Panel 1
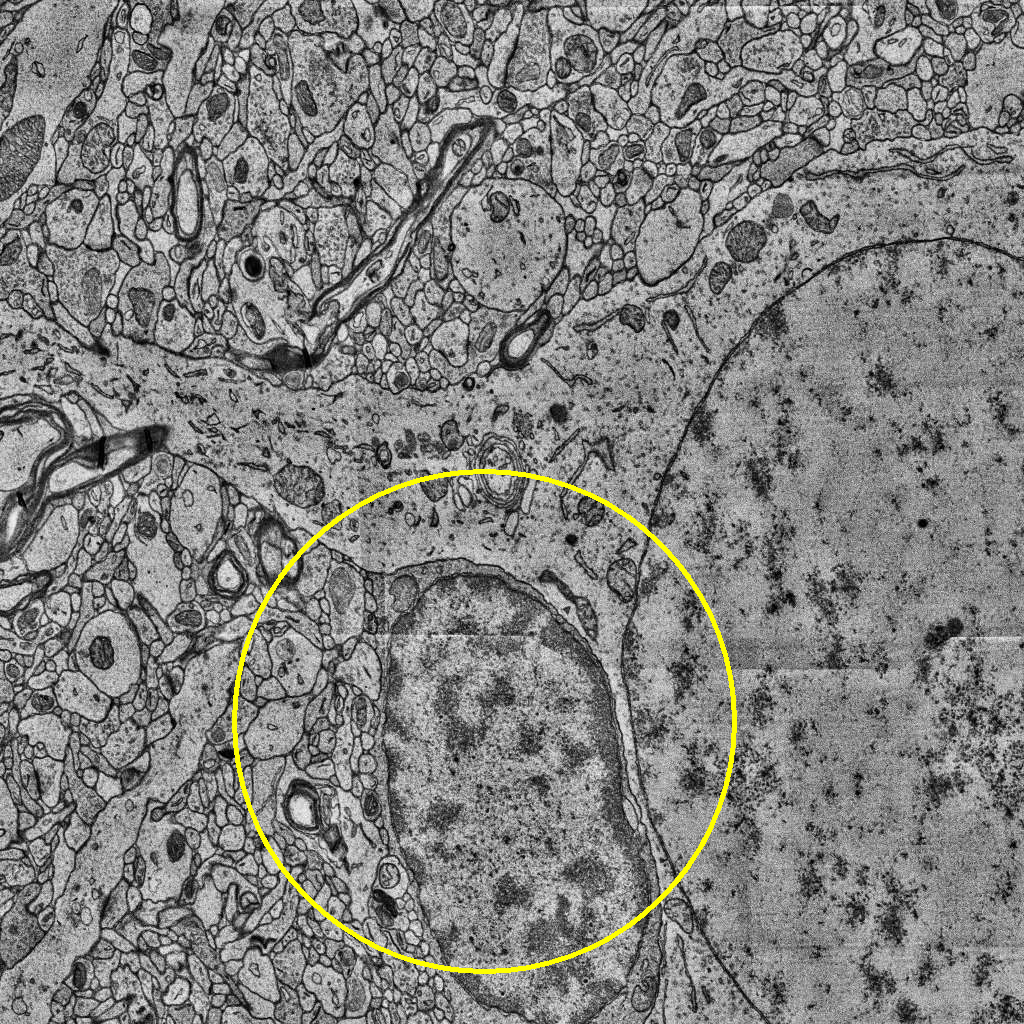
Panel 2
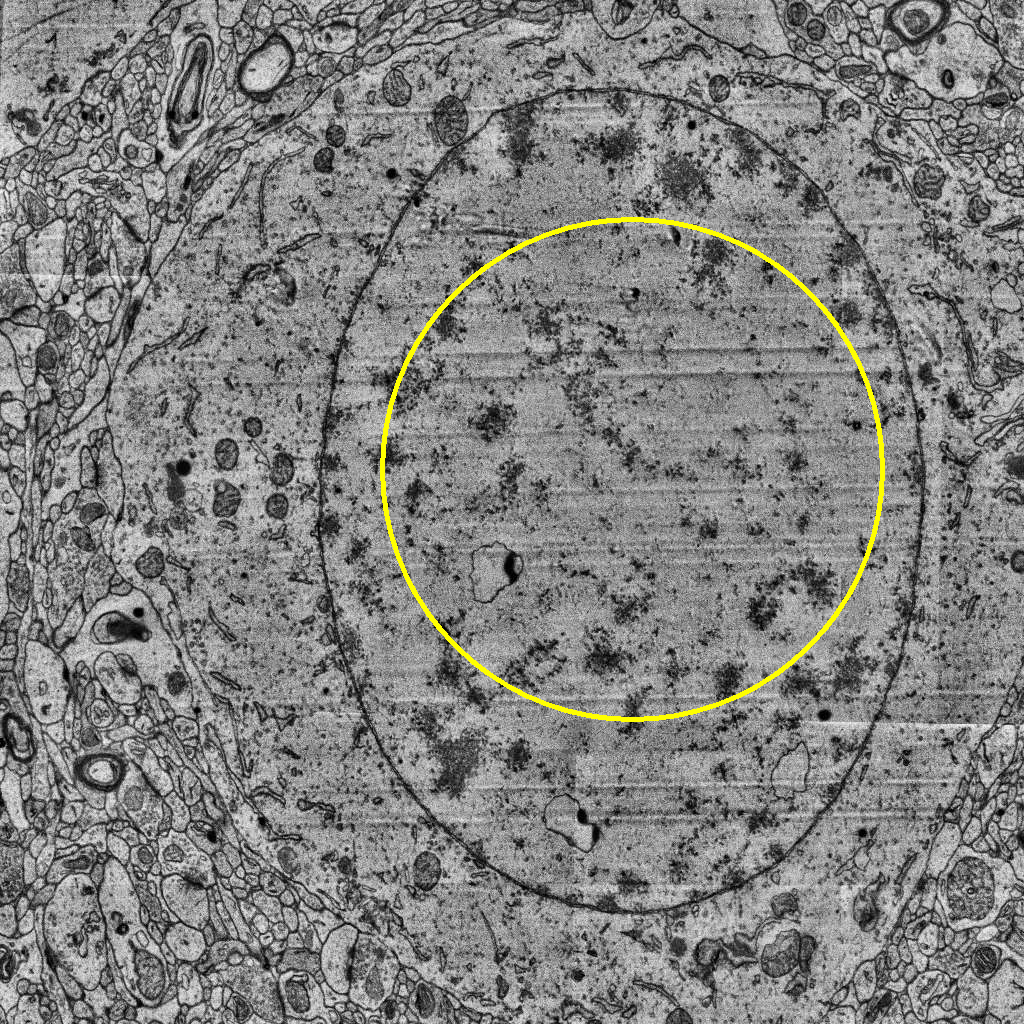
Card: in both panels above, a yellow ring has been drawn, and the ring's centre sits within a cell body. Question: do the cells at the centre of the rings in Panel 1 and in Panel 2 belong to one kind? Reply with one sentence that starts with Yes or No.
No, the cells at the ring centres of Panel 1 and Panel 2 are two kinds of cell.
